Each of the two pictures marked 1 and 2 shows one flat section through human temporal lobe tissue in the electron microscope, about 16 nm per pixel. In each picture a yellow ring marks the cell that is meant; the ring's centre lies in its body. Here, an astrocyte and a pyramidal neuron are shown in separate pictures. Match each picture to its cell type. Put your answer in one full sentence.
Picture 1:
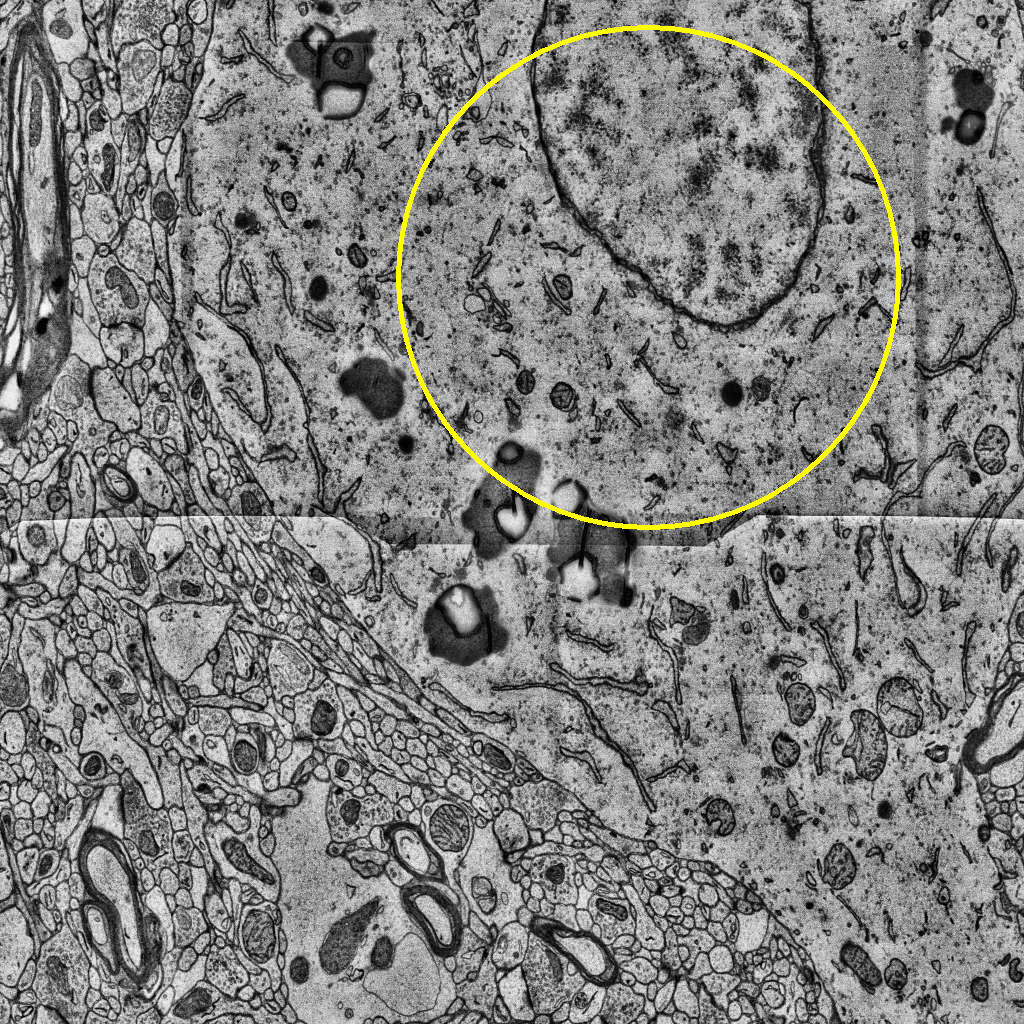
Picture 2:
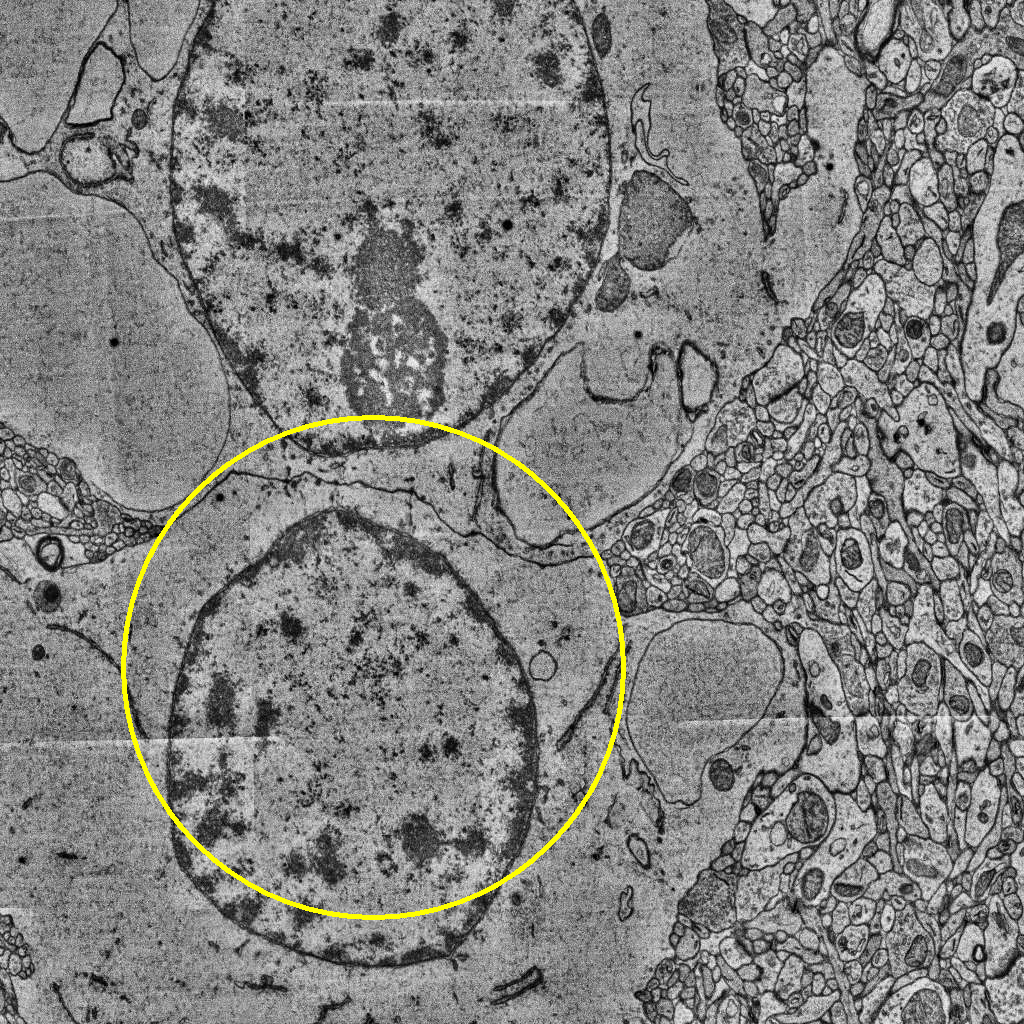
The cell in picture 1 is a pyramidal neuron, and the one in picture 2 is an astrocyte.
